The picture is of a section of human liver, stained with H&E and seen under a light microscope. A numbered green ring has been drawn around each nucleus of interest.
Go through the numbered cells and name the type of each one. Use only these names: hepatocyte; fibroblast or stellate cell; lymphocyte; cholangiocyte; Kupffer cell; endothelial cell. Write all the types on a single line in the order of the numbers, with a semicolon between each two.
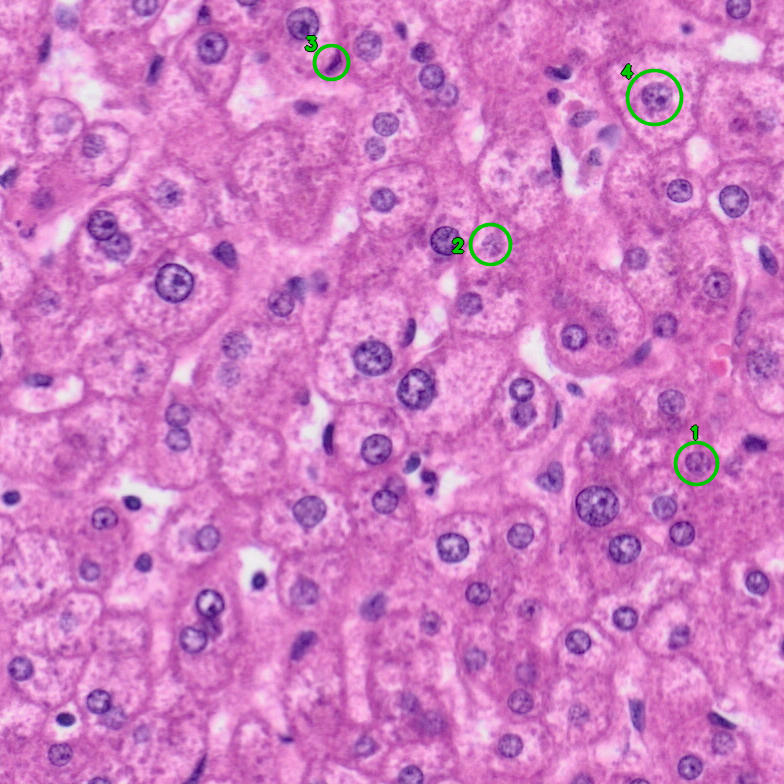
hepatocyte; hepatocyte; fibroblast or stellate cell; hepatocyte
